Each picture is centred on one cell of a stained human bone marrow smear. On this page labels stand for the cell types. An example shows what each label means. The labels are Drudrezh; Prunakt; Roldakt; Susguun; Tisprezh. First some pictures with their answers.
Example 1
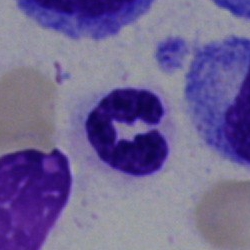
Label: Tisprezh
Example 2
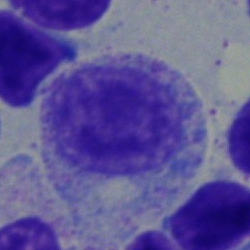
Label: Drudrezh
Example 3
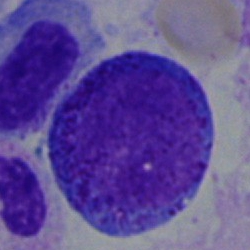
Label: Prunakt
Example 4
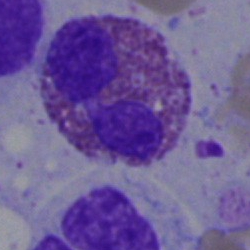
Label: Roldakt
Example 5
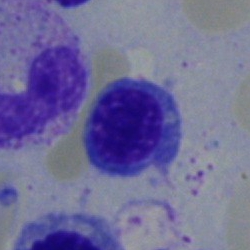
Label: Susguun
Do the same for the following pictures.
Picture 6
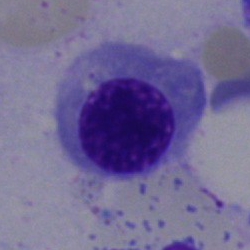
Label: Susguun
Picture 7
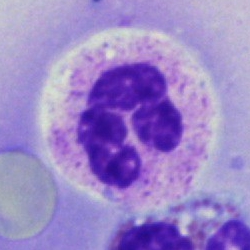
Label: Tisprezh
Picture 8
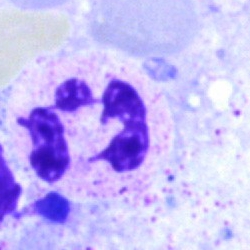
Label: Tisprezh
